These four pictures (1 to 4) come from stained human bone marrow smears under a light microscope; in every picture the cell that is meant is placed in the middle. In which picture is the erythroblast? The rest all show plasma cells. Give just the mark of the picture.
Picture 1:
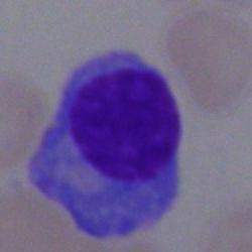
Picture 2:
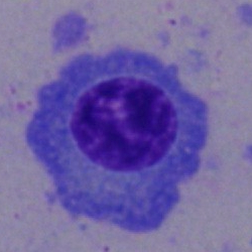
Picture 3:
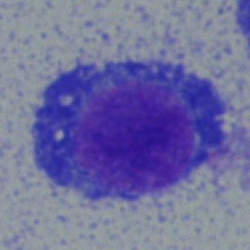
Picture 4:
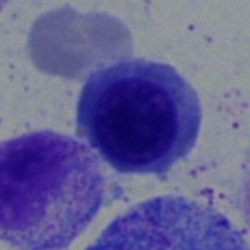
4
